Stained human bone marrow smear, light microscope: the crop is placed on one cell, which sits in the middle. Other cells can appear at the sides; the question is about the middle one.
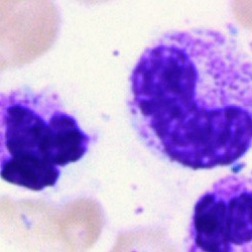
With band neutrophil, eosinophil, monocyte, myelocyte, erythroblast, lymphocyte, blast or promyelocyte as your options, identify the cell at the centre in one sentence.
Whatever else lies nearby, the middle cell is a band neutrophil.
